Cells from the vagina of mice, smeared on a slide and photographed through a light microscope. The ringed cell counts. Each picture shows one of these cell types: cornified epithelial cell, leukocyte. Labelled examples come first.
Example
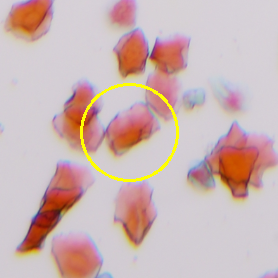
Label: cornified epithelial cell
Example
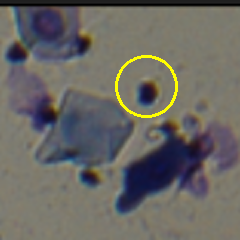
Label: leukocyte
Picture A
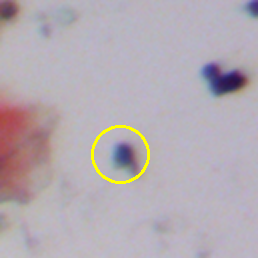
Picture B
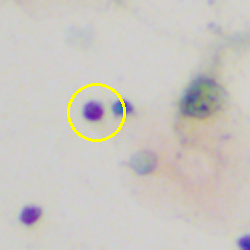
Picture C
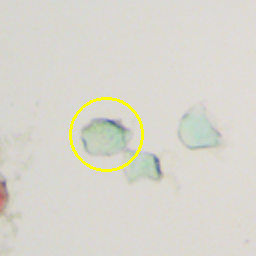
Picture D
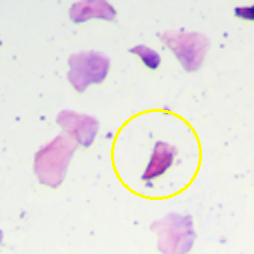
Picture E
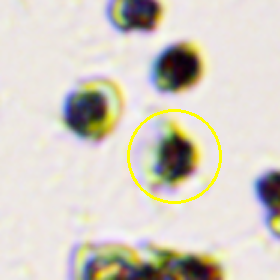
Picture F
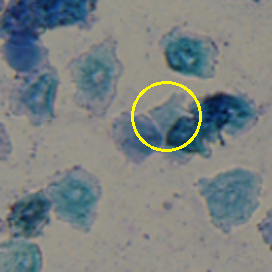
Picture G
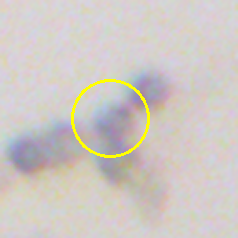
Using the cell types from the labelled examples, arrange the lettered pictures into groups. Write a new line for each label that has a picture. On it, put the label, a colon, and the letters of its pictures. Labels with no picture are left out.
cornified epithelial cell: C, D, F
leukocyte: A, B, E, G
